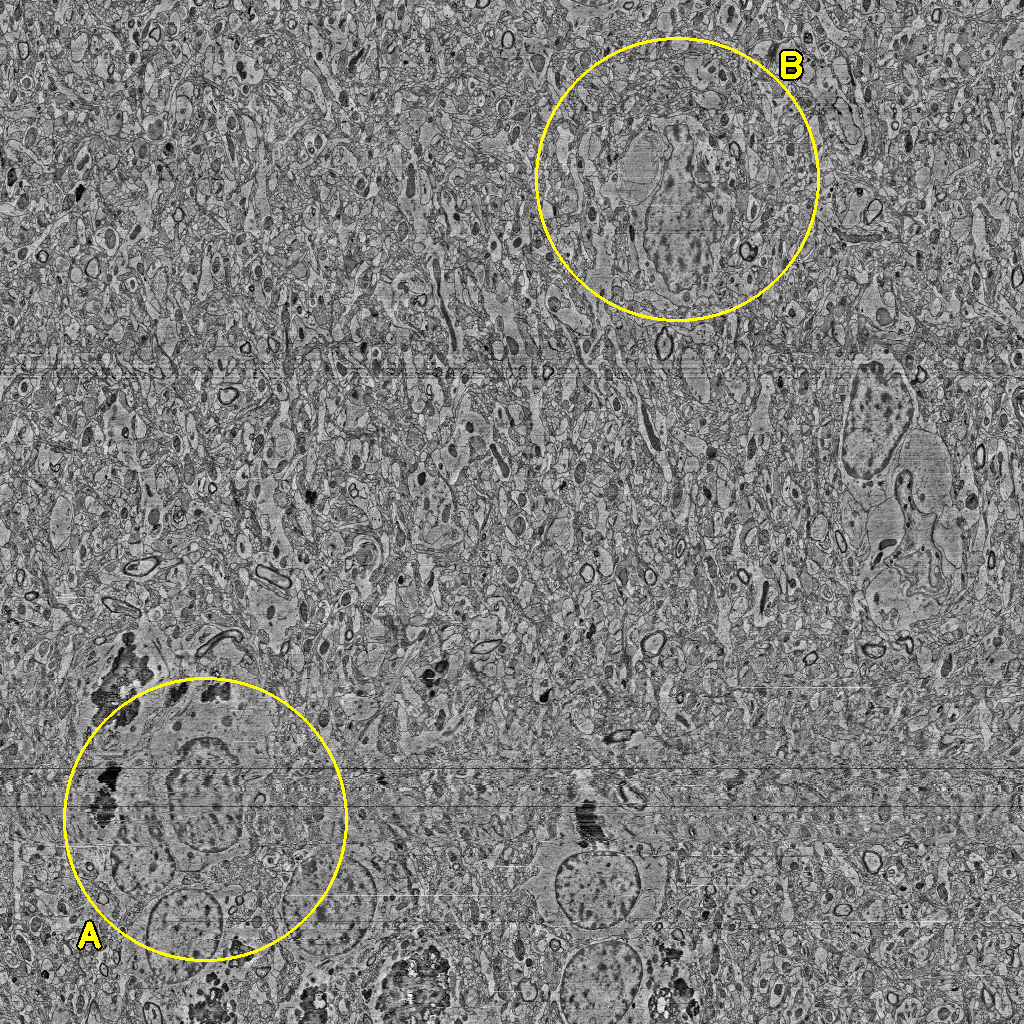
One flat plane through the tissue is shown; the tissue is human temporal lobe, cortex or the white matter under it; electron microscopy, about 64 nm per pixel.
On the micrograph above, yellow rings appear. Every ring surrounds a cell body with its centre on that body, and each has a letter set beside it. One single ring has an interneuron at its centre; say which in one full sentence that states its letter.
The answer is ring B, whose centre lies on the cell asked for.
